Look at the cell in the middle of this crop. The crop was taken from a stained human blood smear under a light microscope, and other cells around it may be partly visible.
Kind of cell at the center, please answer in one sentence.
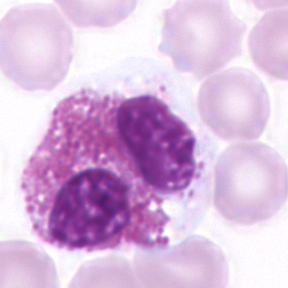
The cell at the central position in this crop is an eosinophil.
